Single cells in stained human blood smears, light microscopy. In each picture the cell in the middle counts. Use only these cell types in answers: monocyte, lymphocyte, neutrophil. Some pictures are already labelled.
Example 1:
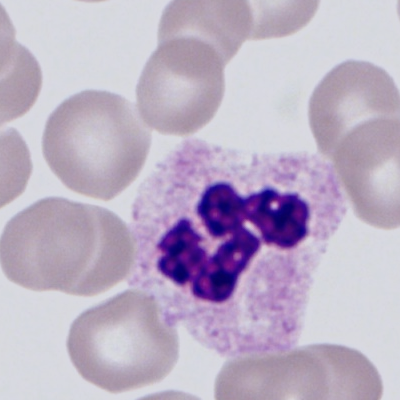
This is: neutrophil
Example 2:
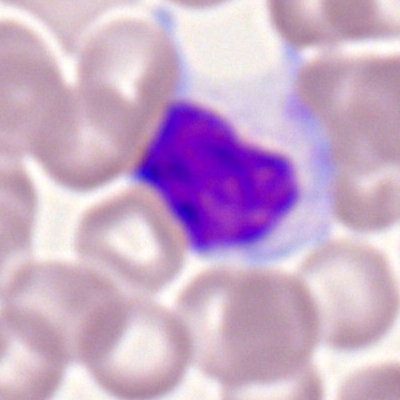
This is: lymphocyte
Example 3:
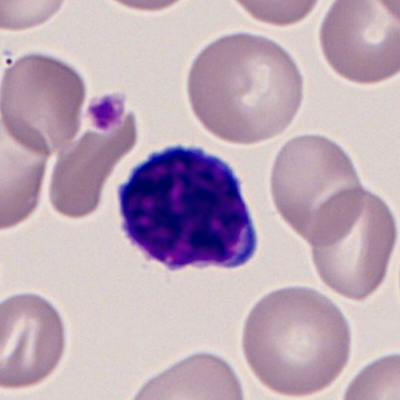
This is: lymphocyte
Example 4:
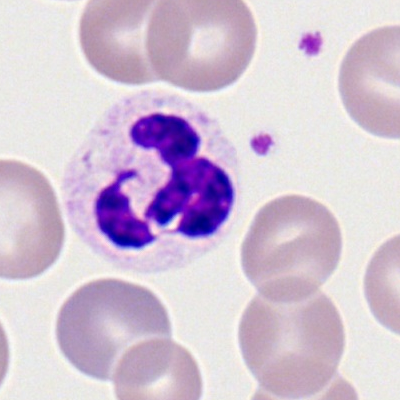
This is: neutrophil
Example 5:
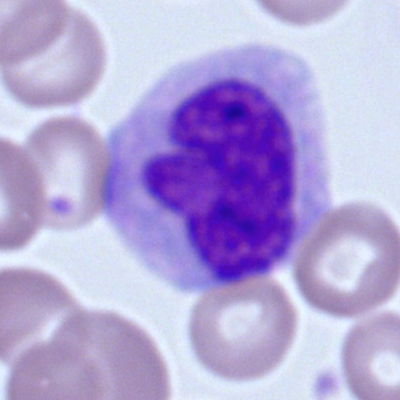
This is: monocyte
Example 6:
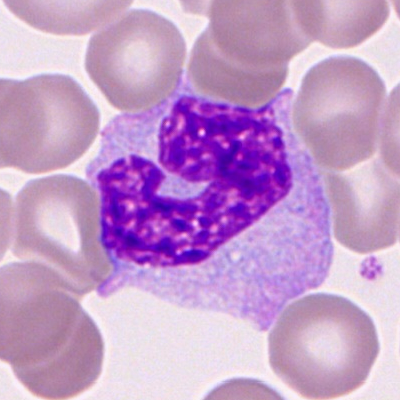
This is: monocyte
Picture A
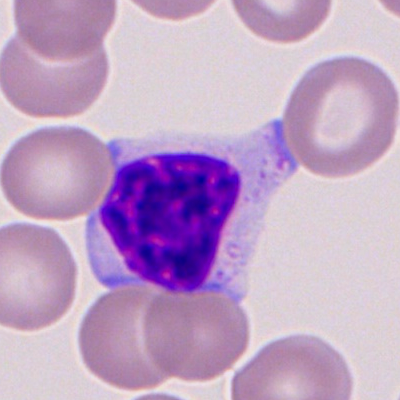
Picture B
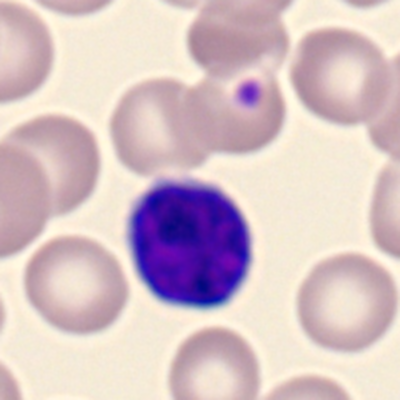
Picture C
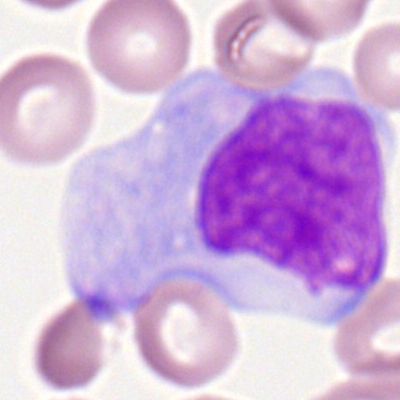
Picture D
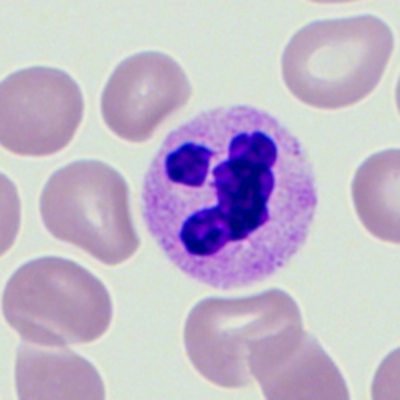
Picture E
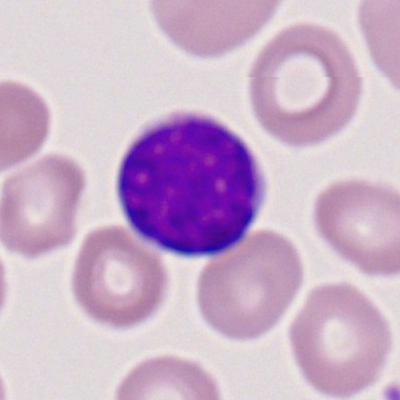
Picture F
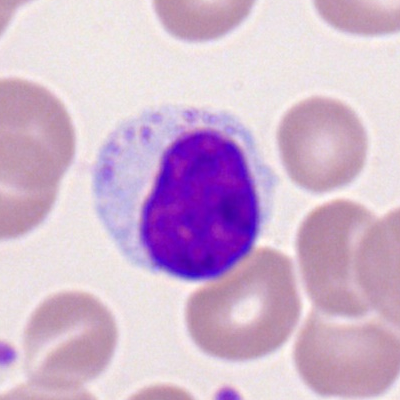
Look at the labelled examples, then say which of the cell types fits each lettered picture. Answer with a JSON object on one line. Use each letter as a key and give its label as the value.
{"A": "lymphocyte", "B": "lymphocyte", "C": "monocyte", "D": "neutrophil", "E": "lymphocyte", "F": "lymphocyte"}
